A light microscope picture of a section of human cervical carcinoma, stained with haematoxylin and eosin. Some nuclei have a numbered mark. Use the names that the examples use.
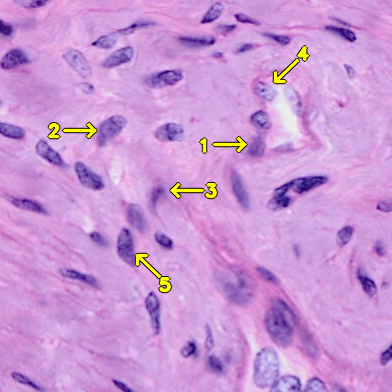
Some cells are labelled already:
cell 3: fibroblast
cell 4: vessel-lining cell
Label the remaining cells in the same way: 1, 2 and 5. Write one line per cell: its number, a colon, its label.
1: vessel-lining cell
2: fibroblast
5: fibroblast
